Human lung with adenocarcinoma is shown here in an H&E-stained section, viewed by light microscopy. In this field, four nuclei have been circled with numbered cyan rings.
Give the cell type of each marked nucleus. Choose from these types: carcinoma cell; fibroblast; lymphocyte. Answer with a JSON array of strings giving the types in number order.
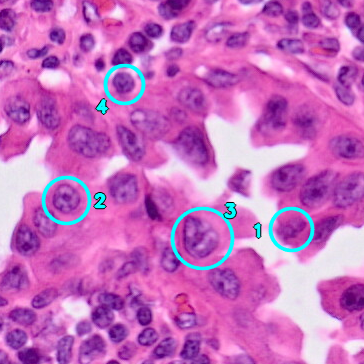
["carcinoma cell", "carcinoma cell", "carcinoma cell", "lymphocyte"]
